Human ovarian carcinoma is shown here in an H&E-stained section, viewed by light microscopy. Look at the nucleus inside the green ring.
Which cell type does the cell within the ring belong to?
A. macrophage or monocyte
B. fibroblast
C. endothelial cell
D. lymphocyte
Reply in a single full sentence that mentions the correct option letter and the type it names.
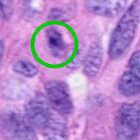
Option D is the one that fits, as the cell within the ring is a lymphocyte.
